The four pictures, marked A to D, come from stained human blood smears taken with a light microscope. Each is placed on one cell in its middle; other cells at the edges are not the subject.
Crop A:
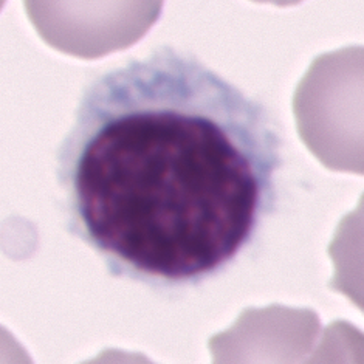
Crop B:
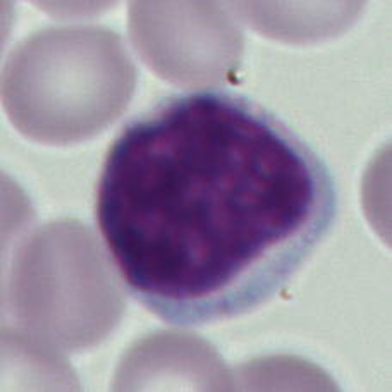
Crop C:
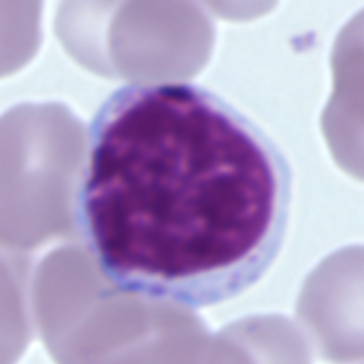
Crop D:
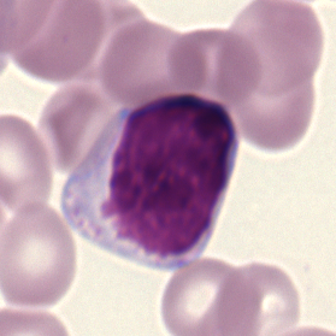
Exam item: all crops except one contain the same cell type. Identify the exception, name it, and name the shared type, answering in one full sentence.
Apart from crop A, which shows a hairy cell, every crop shows large granular lymphocytes.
